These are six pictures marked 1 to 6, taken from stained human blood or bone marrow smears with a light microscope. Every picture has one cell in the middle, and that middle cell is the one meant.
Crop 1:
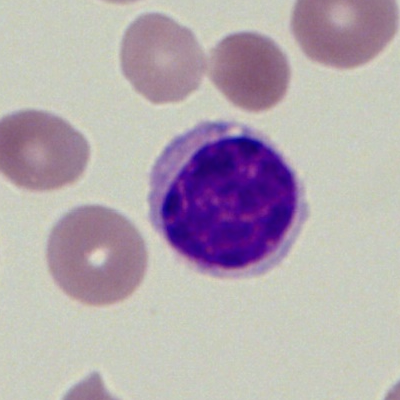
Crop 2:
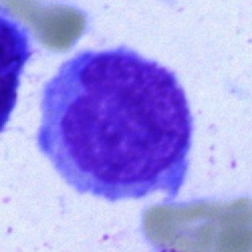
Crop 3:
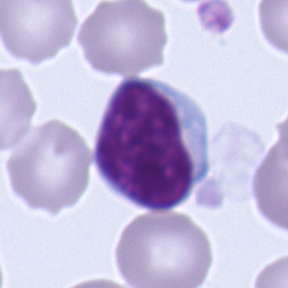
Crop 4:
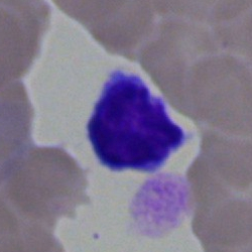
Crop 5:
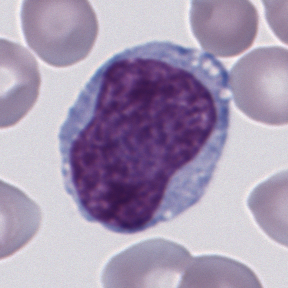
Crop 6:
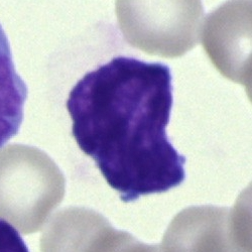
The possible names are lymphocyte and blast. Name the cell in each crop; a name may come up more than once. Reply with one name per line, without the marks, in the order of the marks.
lymphocyte
blast
lymphocyte
lymphocyte
blast
blast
